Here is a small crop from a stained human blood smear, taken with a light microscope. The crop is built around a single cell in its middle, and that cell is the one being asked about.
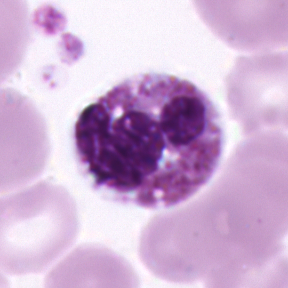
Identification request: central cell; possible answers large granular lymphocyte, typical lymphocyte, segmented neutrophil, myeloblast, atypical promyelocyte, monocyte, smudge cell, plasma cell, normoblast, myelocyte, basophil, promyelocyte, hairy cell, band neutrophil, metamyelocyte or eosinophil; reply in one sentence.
As for the central cell, it is an eosinophil.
